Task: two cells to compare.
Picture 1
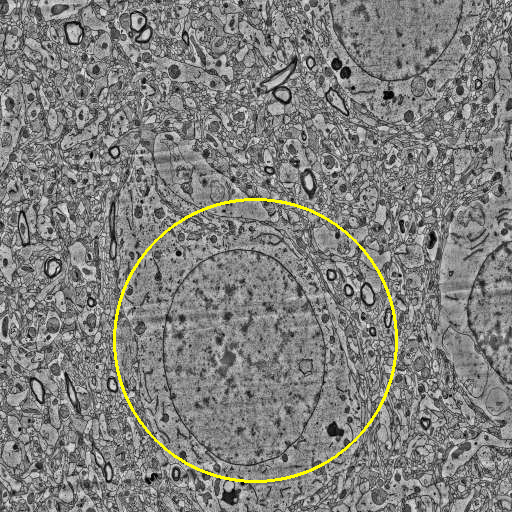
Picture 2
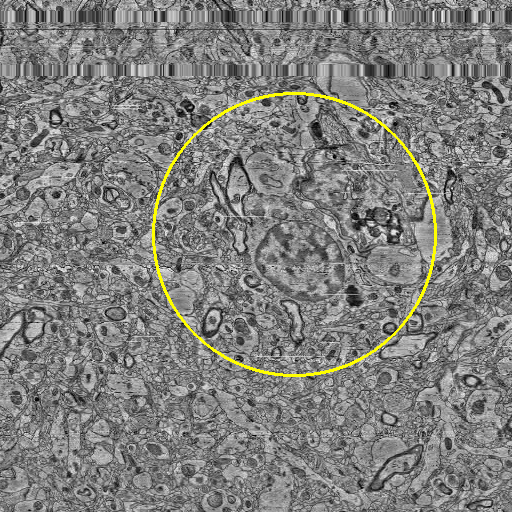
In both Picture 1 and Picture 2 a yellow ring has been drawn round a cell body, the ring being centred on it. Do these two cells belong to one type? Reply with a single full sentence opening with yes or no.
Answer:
No, the two cells at the ring centres in Picture 1 and Picture 2 are of two types.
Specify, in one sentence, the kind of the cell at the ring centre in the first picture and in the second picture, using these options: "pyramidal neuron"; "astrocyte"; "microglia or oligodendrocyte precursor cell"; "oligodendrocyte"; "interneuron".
So the first is a pyramidal neuron, the second an oligodendrocyte.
